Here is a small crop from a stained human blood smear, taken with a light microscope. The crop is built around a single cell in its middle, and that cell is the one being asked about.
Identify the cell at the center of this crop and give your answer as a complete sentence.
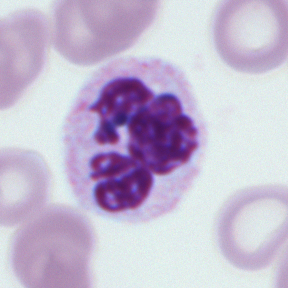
Standing at the centre of this crop is a segmented neutrophil.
